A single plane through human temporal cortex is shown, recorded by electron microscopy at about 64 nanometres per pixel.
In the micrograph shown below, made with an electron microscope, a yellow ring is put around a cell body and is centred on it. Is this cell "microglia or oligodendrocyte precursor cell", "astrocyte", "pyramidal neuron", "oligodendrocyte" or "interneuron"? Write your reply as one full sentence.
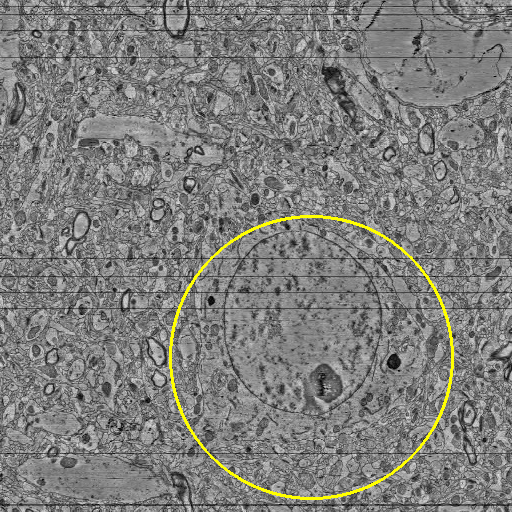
In the micrograph, a pyramidal neuron is the cell at the centre of the yellow ring.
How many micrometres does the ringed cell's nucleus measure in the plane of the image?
Roughly 13 by 10 micrometres in this plane, for the nucleus of the ringed cell.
